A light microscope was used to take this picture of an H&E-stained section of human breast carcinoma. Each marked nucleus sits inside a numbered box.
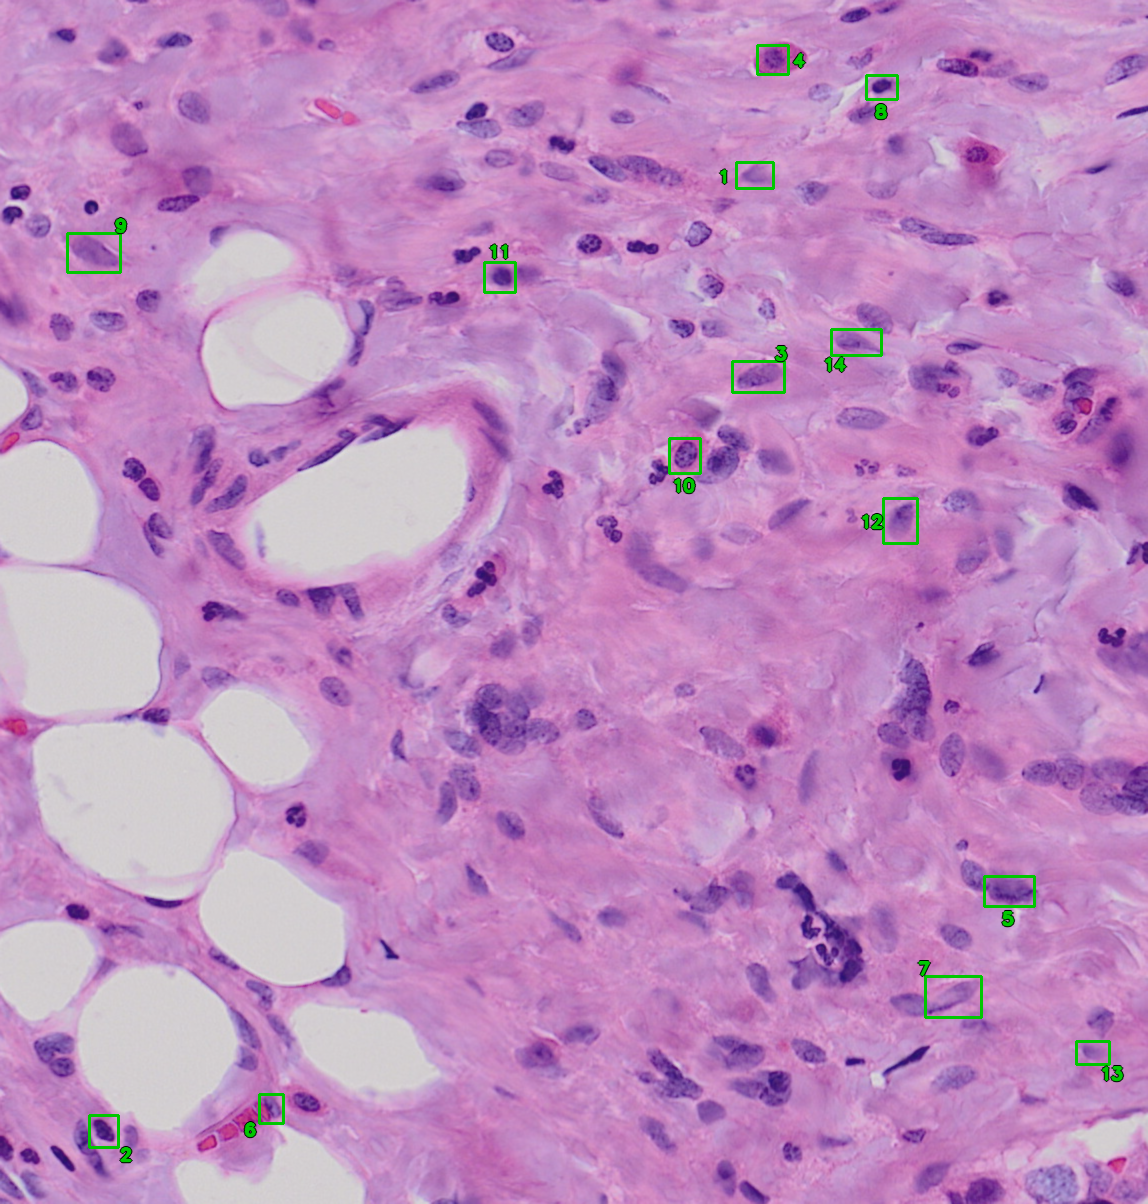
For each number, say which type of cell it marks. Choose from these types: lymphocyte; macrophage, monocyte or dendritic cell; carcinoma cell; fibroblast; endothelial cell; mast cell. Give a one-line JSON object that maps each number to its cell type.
{"1": "fibroblast", "2": "lymphocyte", "3": "fibroblast", "4": "mast cell", "5": "fibroblast", "6": "endothelial cell", "7": "fibroblast", "8": "lymphocyte", "9": "fibroblast", "10": "mast cell", "11": "lymphocyte", "12": "fibroblast", "13": "fibroblast", "14": "fibroblast"}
